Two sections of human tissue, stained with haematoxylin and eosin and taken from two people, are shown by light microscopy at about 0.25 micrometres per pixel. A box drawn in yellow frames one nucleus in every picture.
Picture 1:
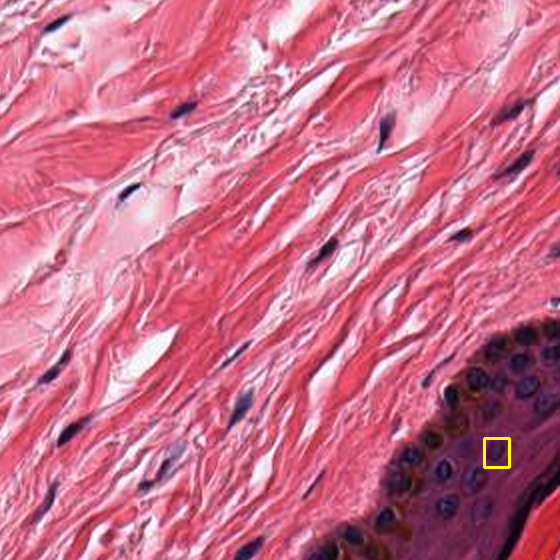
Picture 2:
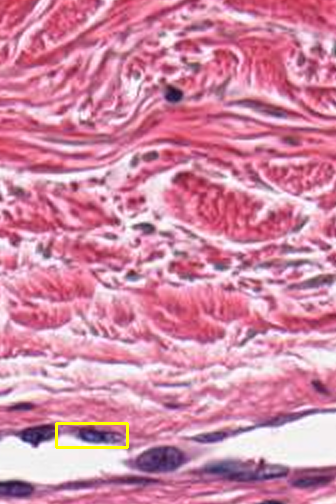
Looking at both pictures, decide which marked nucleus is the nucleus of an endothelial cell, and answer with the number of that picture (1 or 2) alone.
2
